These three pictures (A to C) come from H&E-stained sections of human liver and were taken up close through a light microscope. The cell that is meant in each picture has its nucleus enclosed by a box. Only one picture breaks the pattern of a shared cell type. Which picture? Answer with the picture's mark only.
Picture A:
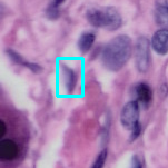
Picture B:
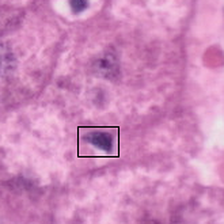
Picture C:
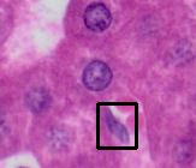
A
